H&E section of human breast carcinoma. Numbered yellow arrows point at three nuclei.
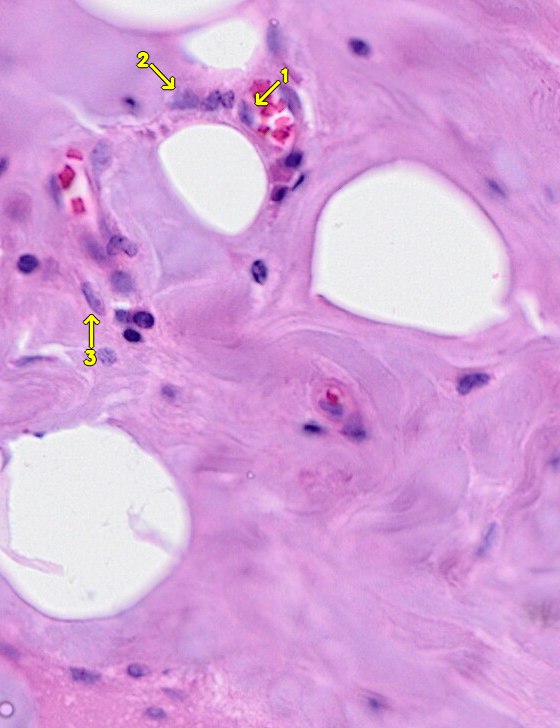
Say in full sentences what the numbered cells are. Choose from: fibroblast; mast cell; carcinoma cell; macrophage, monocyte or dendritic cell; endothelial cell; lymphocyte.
Cell 1 is an endothelial cell. Cells 2 and 3 are fibroblasts.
